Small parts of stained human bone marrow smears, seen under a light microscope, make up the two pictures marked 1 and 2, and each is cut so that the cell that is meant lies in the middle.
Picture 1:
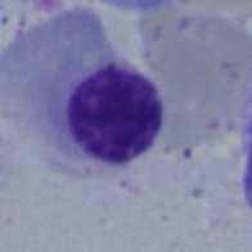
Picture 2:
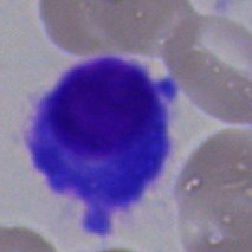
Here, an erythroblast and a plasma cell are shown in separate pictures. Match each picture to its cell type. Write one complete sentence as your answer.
In picture 1 the cell is an erythroblast; in picture 2, a plasma cell.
